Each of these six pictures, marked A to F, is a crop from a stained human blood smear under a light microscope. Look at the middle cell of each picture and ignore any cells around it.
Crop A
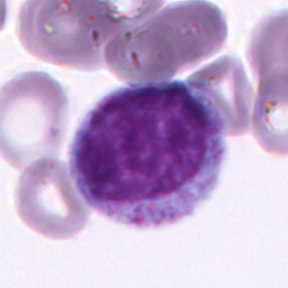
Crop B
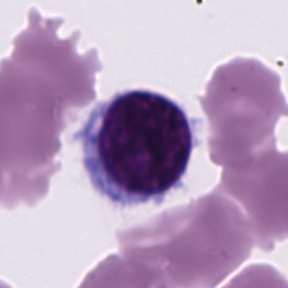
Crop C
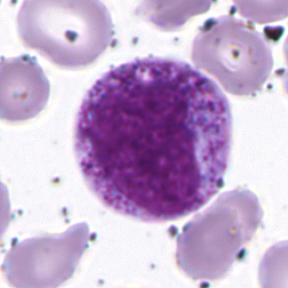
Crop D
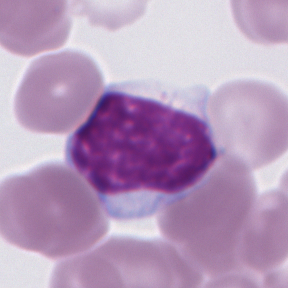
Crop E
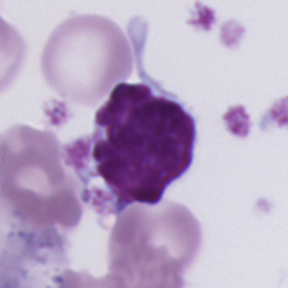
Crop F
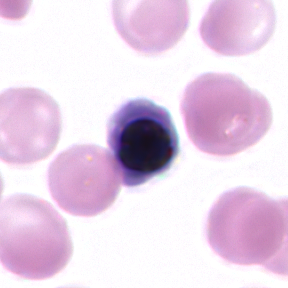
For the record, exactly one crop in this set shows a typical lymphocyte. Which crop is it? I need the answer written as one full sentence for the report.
Crop E is the one depicting a typical lymphocyte.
